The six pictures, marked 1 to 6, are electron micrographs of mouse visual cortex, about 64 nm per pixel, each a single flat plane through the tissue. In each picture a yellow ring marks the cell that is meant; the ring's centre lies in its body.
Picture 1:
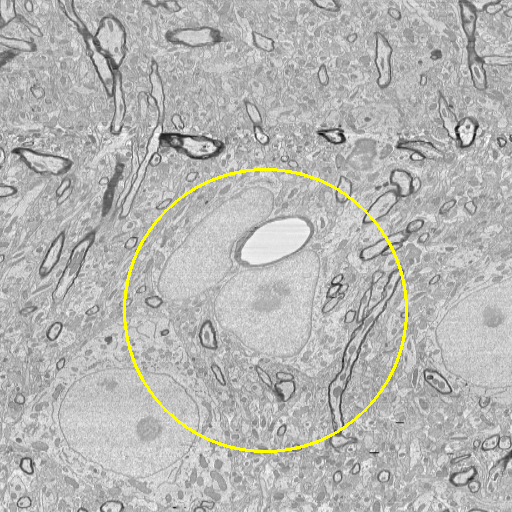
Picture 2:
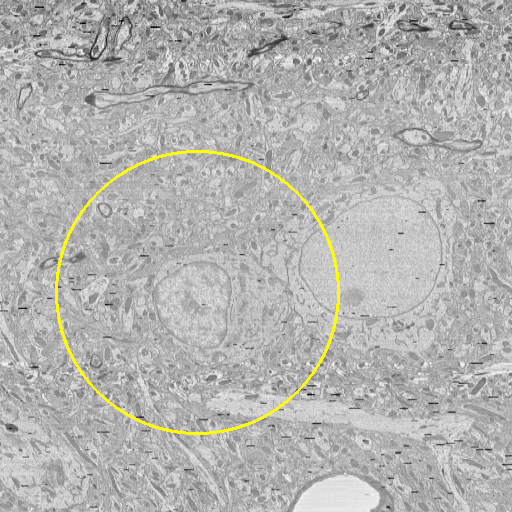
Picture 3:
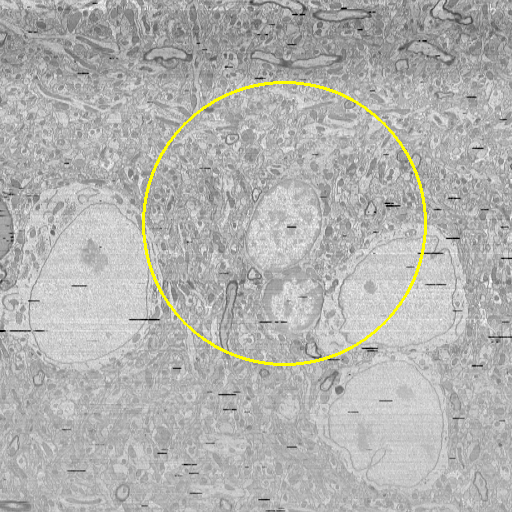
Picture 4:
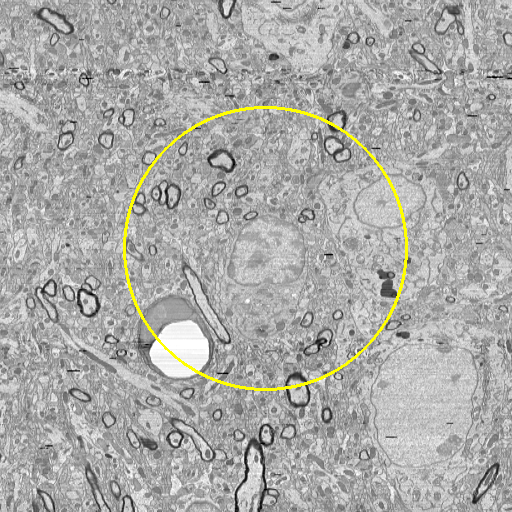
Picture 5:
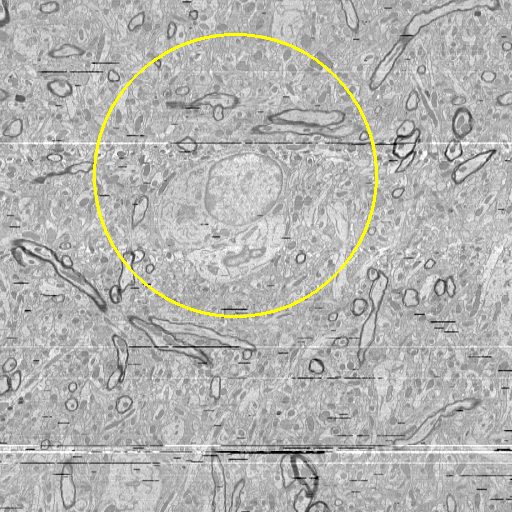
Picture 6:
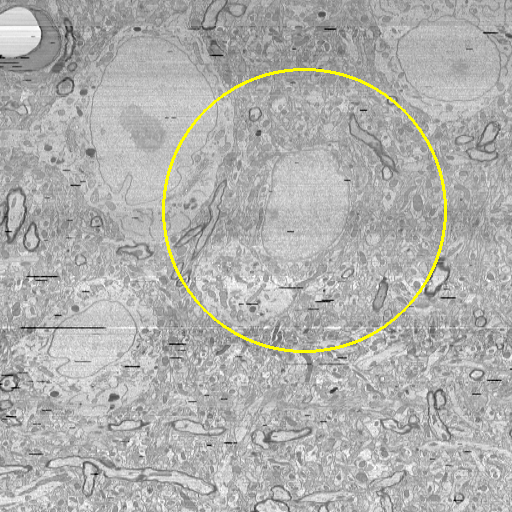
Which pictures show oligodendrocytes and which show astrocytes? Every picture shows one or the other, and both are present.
Pictures 2, 3, 4 and 5 show oligodendrocytes, and pictures 1 and 6 show astrocytes.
